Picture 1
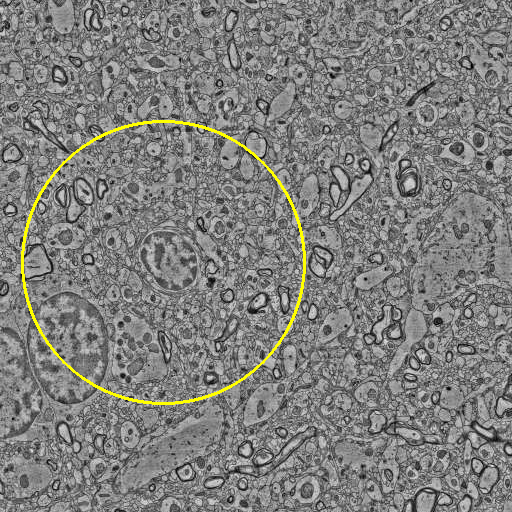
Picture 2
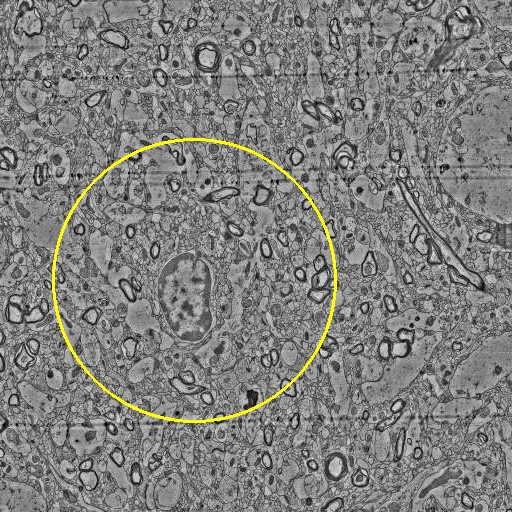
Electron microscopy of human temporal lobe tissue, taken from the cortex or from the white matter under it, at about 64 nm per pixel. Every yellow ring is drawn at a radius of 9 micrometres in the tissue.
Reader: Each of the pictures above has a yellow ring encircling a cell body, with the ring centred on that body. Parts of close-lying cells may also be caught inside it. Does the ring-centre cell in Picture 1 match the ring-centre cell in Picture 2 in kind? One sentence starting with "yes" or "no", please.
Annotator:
Yes, Picture 1 and Picture 2 show ring-centre cells of a single kind.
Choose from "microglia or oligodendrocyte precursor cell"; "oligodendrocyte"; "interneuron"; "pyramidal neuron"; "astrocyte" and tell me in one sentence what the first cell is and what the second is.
In both pictures the ring is centred on a microglial cell or oligodendrocyte precursor cell.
